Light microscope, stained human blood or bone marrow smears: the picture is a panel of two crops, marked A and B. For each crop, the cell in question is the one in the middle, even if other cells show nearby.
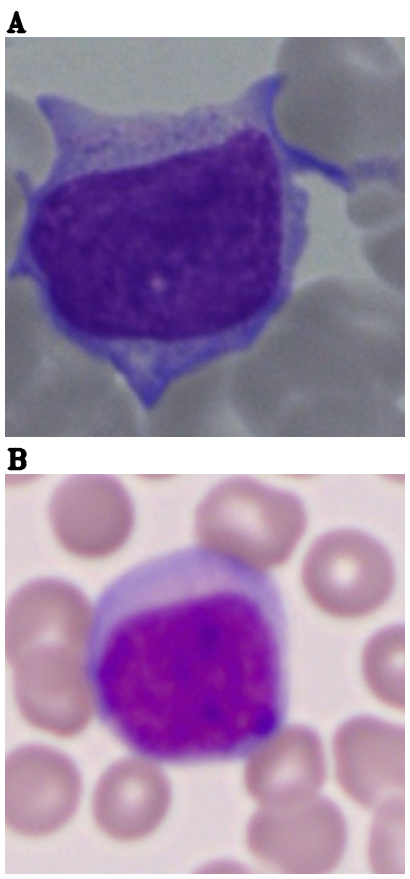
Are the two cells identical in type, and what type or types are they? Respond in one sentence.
Yes, the two crops show blasts at their centres.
